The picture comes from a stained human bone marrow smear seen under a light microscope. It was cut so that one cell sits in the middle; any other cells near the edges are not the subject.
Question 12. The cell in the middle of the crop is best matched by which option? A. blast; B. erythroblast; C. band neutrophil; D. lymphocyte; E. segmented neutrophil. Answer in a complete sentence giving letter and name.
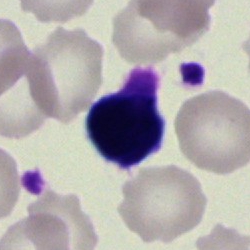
Option D, which names the central cell as a lymphocyte, is correct.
